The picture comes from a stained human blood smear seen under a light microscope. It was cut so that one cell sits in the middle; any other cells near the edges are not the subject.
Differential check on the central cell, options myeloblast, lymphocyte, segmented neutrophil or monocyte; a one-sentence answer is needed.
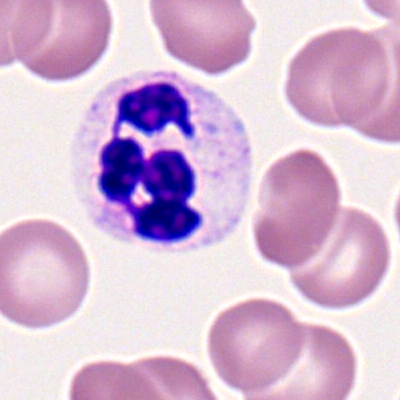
At the middle of the frame sits a segmented neutrophil.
